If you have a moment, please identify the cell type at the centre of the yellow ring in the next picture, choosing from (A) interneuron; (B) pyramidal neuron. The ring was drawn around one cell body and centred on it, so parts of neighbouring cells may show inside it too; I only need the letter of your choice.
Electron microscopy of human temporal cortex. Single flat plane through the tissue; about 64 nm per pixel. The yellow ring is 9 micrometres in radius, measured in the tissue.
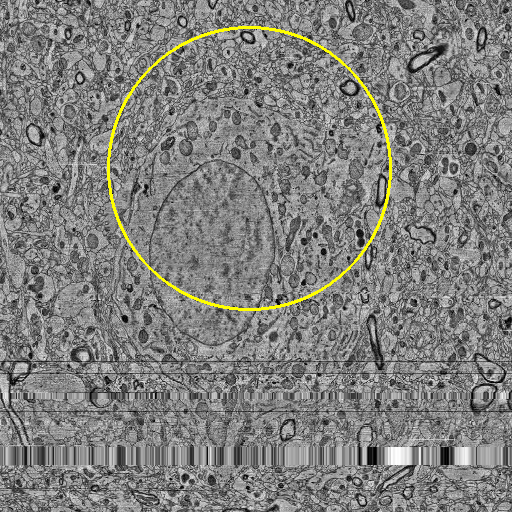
A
